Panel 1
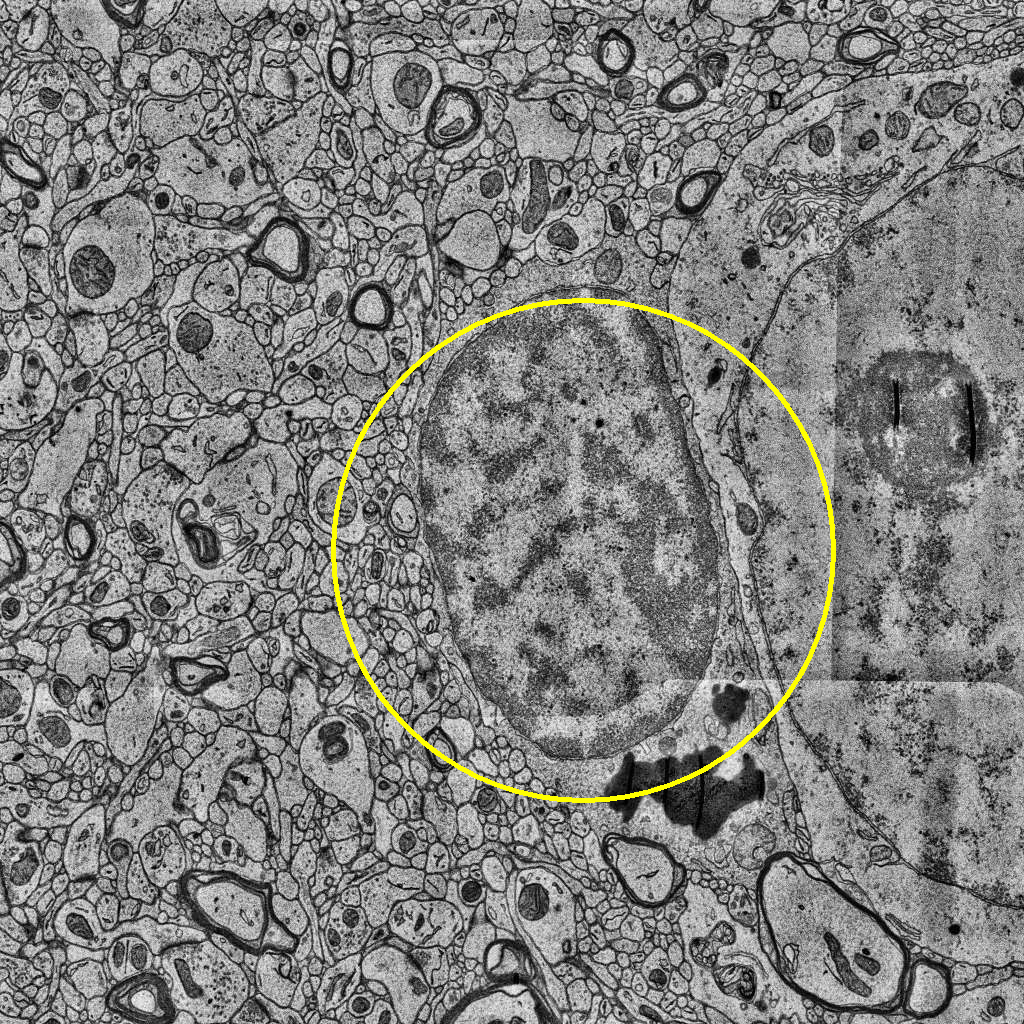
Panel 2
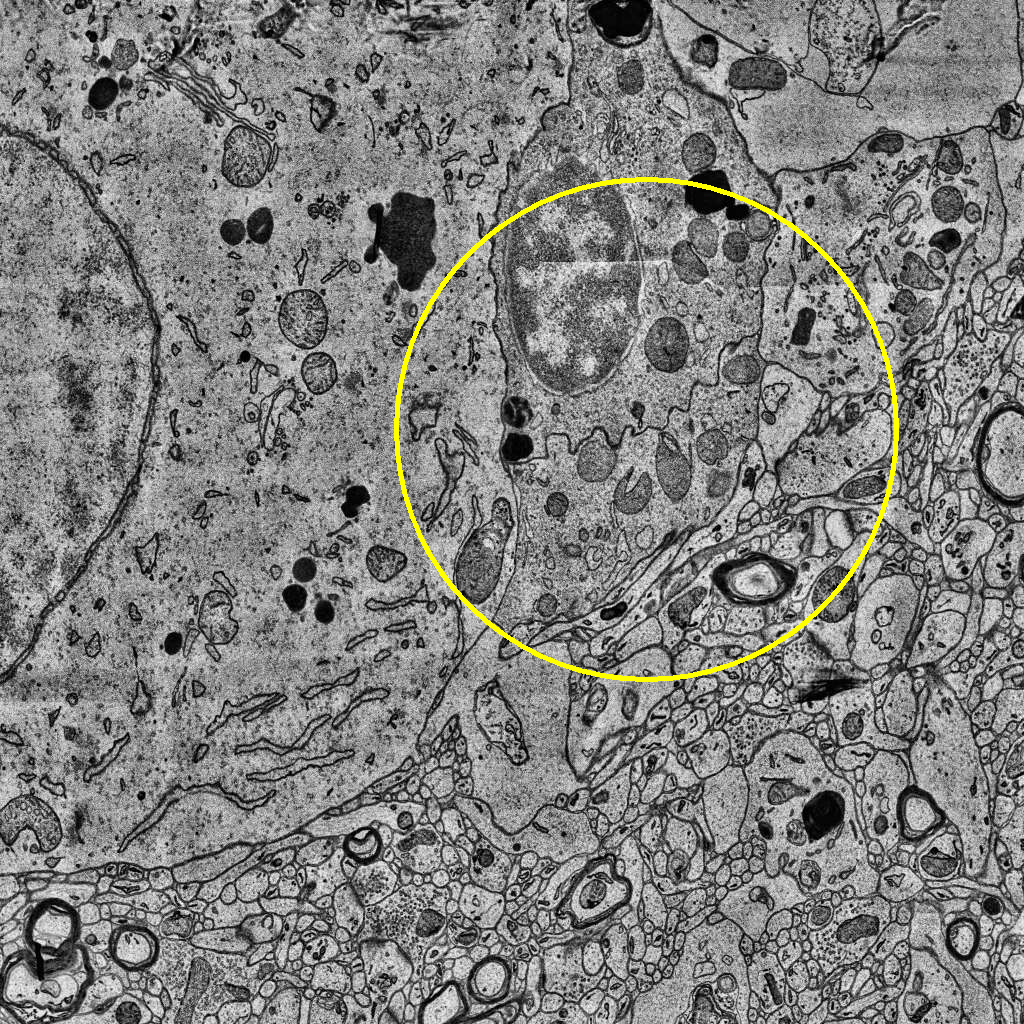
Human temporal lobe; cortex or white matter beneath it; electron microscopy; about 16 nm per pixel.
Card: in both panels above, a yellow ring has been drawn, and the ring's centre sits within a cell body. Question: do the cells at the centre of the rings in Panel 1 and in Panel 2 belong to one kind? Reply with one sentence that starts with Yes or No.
Yes, the cells at the ring centres of Panel 1 and Panel 2 are one kind of cell.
